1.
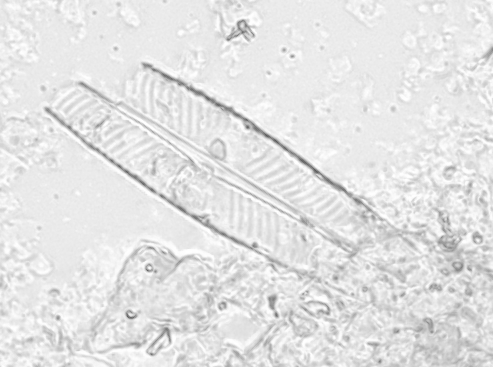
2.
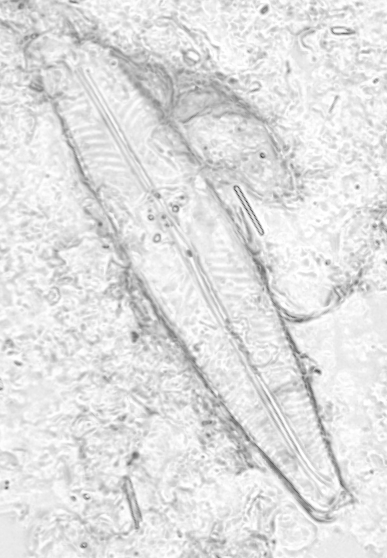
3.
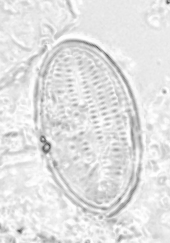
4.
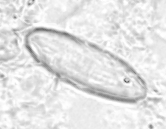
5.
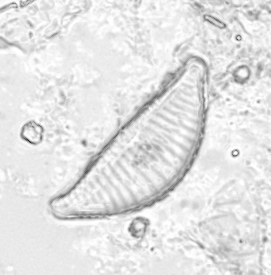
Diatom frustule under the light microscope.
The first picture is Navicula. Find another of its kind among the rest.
Picture 2.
